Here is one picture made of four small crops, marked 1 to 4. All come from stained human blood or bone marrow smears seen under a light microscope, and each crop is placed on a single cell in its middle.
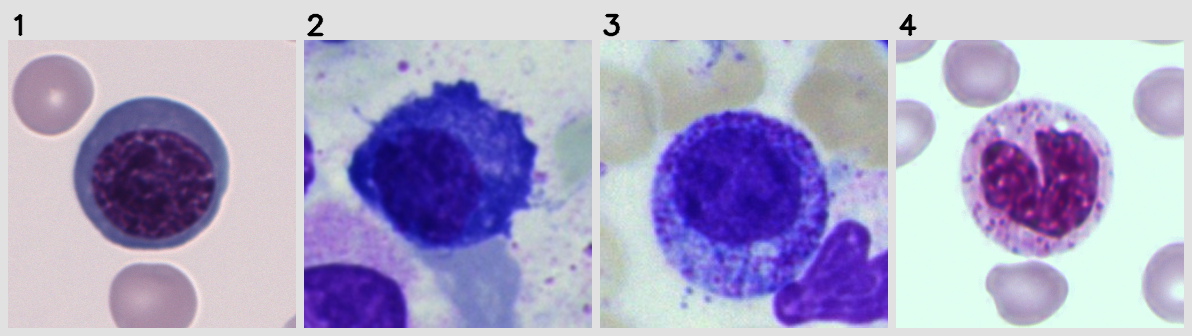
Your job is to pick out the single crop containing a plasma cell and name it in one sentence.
The one showing a plasma cell is crop 2.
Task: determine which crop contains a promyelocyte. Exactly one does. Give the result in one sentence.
The crop carrying a promyelocyte at the center is crop 3.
